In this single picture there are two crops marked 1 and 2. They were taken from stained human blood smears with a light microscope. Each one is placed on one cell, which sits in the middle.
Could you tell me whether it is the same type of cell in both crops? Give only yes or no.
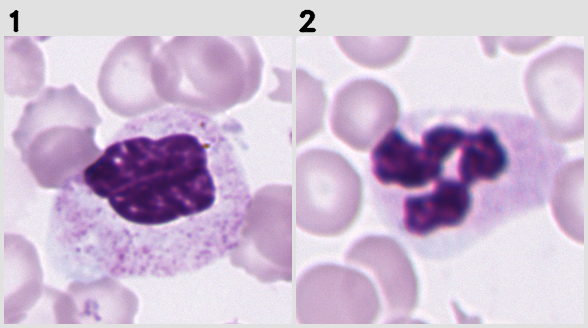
yes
